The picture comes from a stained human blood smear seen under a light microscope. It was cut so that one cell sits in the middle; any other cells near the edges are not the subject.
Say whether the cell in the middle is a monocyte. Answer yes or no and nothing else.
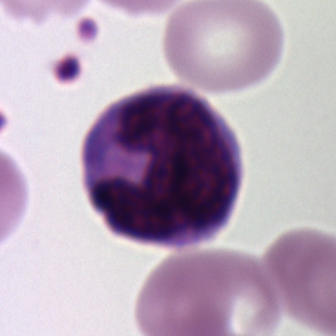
yes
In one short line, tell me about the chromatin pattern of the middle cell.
Take a look at the chromatin, which is coarsely clumped.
